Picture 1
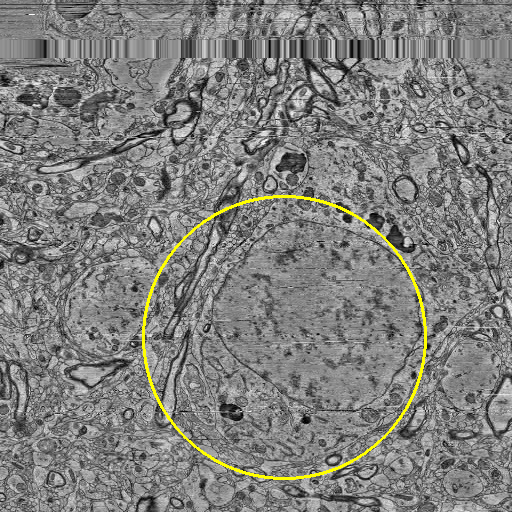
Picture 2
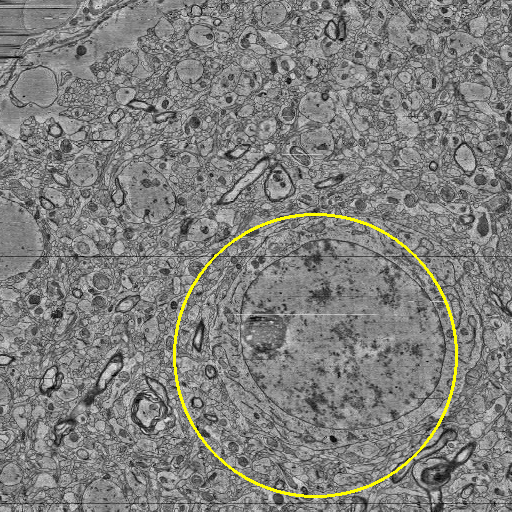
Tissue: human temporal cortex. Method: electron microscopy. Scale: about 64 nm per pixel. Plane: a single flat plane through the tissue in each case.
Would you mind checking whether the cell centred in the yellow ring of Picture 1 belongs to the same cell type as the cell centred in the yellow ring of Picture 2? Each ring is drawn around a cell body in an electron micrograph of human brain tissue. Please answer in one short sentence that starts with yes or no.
Yes, both cells are of the same type.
